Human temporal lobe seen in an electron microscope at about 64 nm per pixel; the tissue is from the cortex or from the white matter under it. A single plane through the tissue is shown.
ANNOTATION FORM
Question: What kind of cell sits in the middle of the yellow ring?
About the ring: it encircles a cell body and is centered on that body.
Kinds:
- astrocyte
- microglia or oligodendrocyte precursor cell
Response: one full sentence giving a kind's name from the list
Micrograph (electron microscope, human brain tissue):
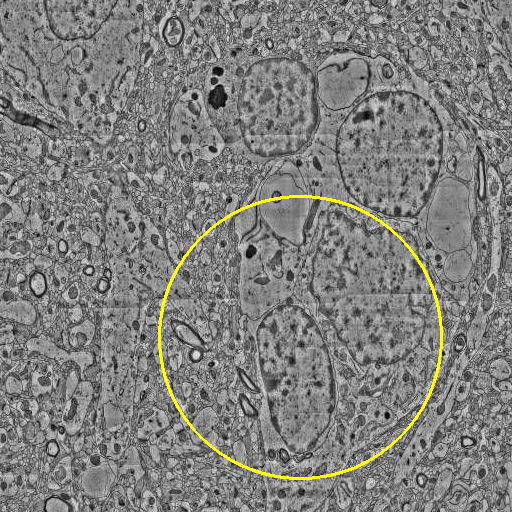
The kind of cell found at the center of the yellow ring in the micrograph is a microglial cell or oligodendrocyte precursor cell.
